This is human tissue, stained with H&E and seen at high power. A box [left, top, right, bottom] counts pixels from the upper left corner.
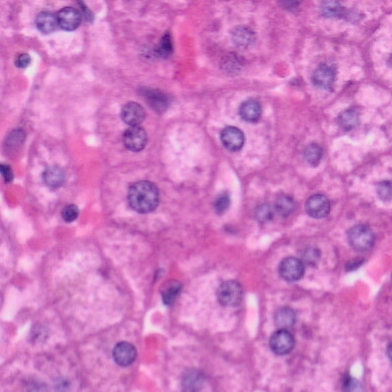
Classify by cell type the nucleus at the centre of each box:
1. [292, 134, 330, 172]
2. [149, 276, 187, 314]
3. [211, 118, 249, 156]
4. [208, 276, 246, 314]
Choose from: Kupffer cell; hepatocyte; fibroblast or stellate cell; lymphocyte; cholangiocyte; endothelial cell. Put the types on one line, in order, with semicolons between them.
hepatocyte; endothelial cell; hepatocyte; hepatocyte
